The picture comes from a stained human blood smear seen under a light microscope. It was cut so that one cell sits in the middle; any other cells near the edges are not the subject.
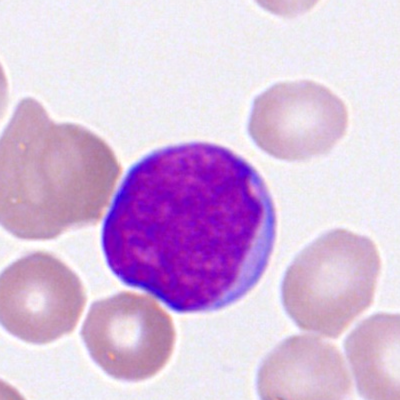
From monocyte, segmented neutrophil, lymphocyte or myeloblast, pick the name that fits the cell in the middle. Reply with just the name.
myeloblast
